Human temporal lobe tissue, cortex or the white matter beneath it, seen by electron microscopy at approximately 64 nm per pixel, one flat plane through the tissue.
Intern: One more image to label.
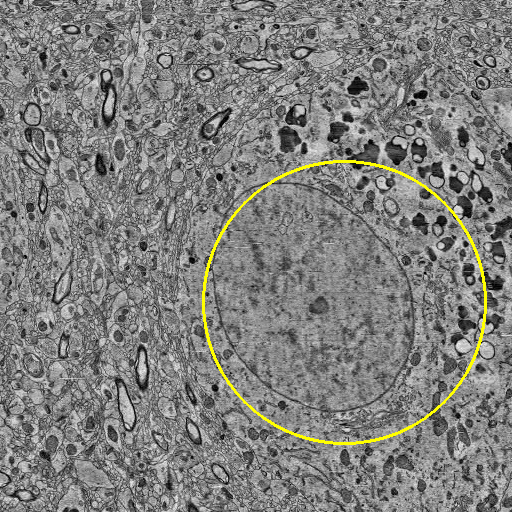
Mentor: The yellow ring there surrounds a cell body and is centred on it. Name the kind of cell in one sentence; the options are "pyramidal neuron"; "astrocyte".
The ring marks the cell body of a pyramidal neuron.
